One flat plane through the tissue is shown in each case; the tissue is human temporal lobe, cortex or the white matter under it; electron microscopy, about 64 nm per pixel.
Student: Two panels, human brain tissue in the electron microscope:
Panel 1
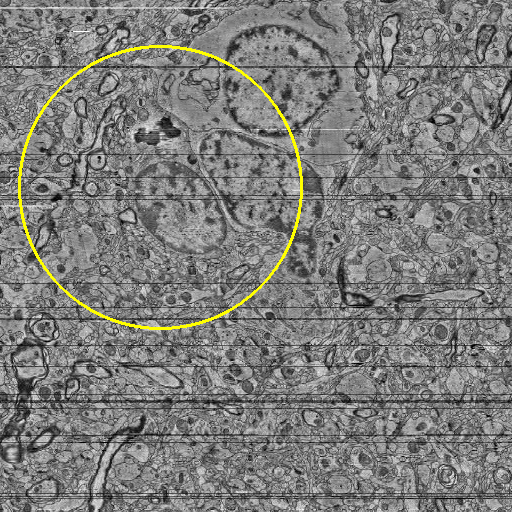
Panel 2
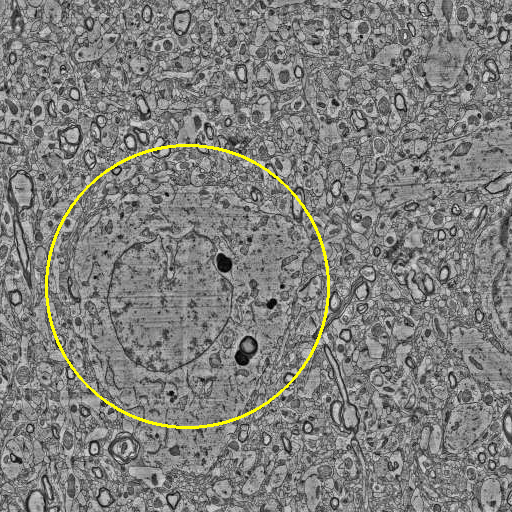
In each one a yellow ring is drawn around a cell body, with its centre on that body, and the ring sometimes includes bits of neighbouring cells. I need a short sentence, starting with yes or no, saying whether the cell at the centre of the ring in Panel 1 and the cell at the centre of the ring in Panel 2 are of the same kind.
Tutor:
No, they are two kinds of cell.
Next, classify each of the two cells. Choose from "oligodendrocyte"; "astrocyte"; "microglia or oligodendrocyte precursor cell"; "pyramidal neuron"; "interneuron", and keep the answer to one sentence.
In the first picture it is an oligodendrocyte; in the second it is a pyramidal neuron.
